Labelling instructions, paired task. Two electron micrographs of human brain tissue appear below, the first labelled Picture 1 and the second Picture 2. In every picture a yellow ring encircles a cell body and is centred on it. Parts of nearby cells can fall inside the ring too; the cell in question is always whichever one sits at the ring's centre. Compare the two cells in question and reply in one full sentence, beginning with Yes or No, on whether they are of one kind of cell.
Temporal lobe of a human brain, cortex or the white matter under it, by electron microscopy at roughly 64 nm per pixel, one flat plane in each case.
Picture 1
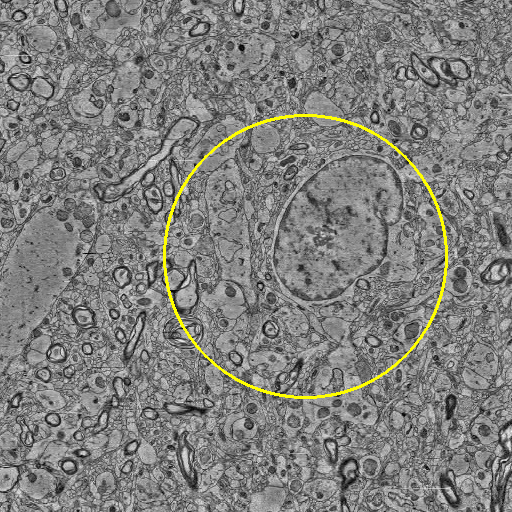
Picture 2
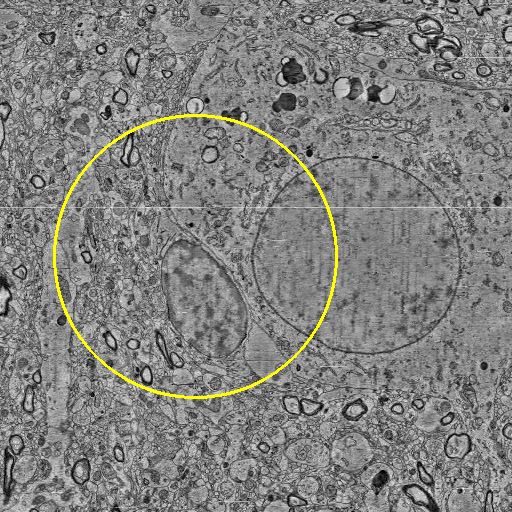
Yes, the two cells at the ring centres in Picture 1 and Picture 2 are of one kind.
